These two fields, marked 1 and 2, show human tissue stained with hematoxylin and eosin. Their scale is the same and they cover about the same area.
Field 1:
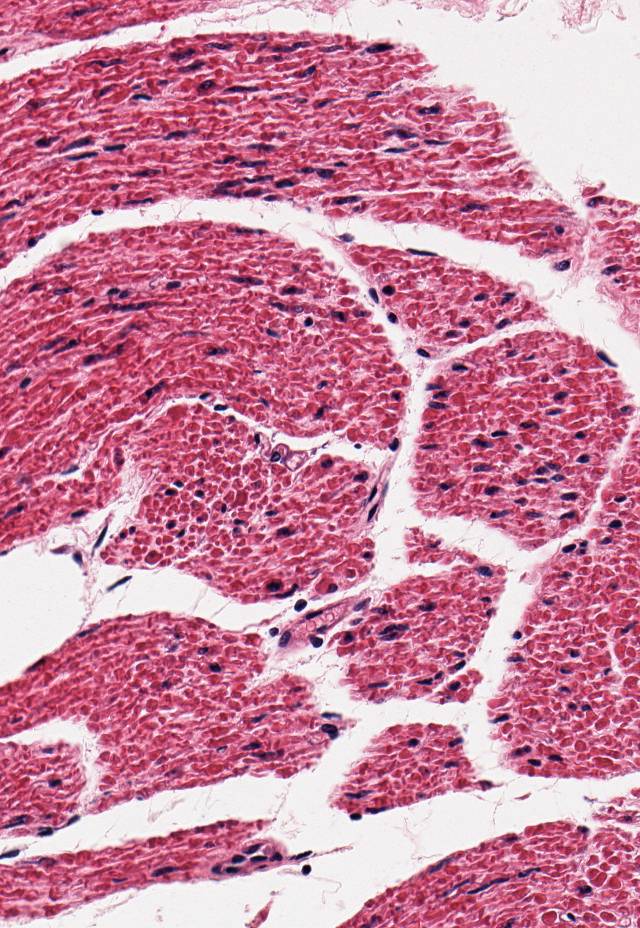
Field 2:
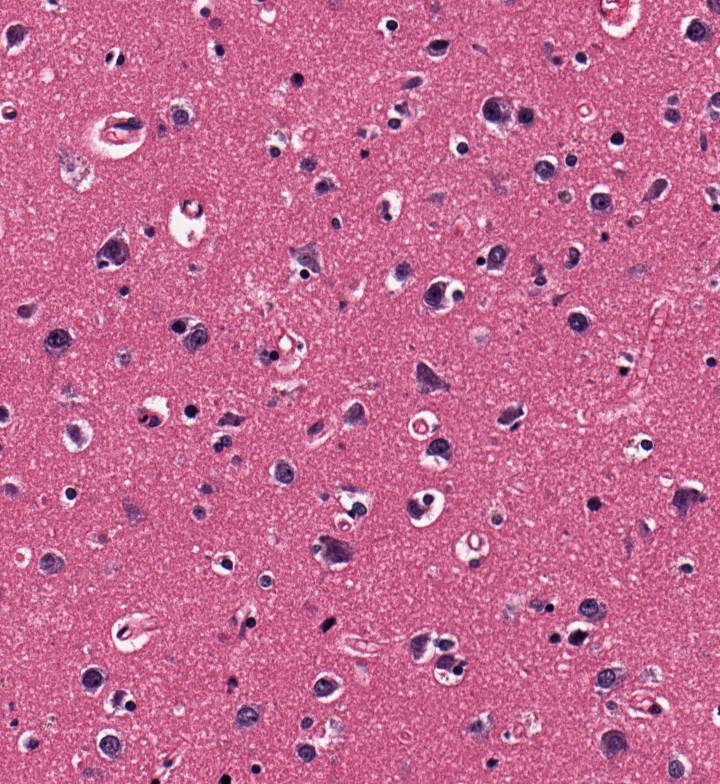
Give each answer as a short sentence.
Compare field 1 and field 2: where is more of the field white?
Field 1 has more white space.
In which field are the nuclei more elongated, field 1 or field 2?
On the whole the nuclei of field 1 are more drawn out than those of field 2.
